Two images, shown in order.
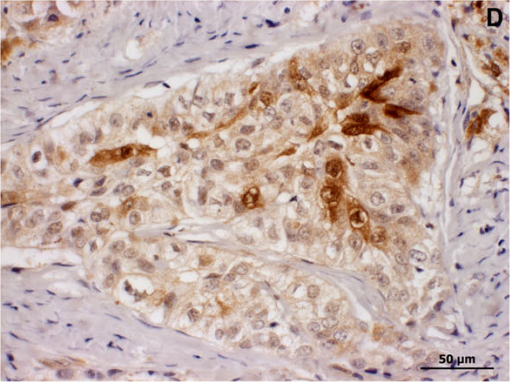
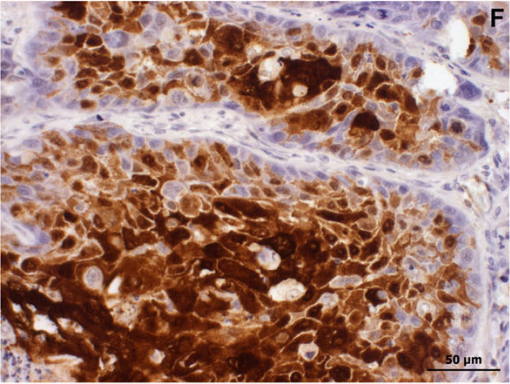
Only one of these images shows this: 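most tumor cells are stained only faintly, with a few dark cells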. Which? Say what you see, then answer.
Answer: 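Second image: most tumor cells are deep dark brown throughout. First image: most tumor cells are pale tan, with only scattered strongly brown cells. So: the first image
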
